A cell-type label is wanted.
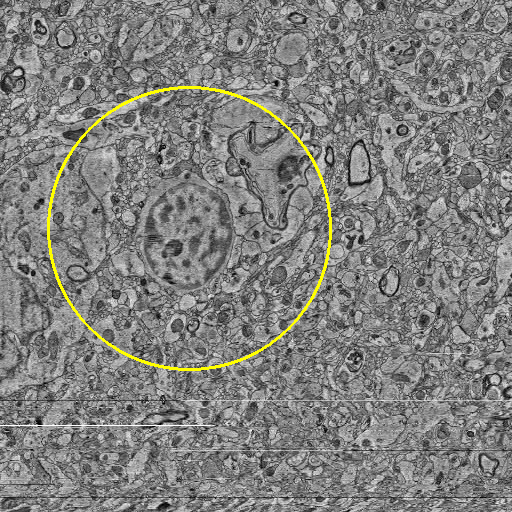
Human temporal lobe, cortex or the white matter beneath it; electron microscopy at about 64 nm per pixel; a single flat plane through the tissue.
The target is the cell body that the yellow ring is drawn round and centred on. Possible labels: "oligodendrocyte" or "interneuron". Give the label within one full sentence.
Of the labels offered, the cell in the middle of the yellow ring is an oligodendrocyte.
